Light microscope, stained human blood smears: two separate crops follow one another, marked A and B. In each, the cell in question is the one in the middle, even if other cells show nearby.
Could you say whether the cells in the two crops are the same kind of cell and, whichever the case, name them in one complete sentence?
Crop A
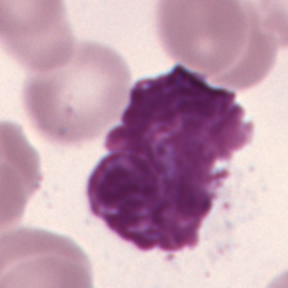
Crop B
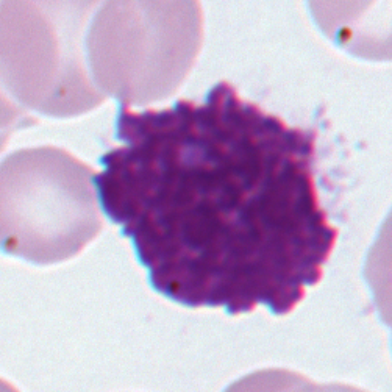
Yes, the cells in both crops are smudge cells.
